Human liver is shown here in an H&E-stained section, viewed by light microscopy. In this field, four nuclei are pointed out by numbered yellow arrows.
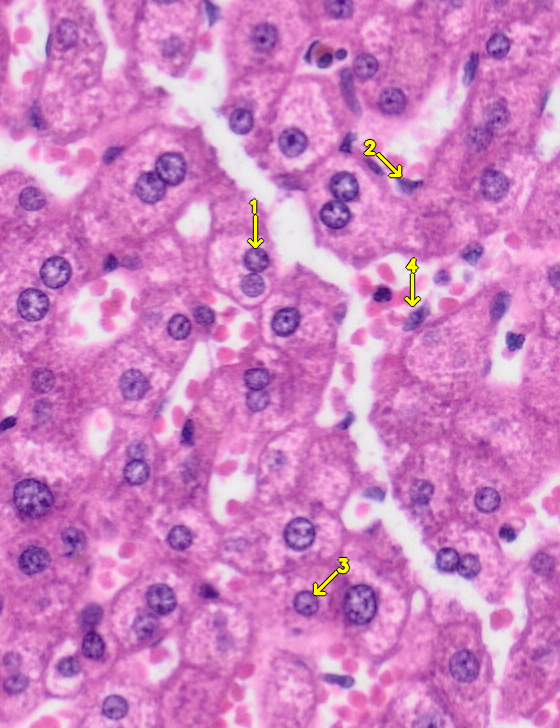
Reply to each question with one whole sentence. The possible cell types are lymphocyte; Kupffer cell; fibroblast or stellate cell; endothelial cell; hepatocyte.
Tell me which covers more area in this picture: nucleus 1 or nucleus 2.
It is nucleus 1, which covers about 2.5 times the area of nucleus 2.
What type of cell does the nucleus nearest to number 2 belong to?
The nucleus nearest to number 2 is that of a fibroblast or stellate cell.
